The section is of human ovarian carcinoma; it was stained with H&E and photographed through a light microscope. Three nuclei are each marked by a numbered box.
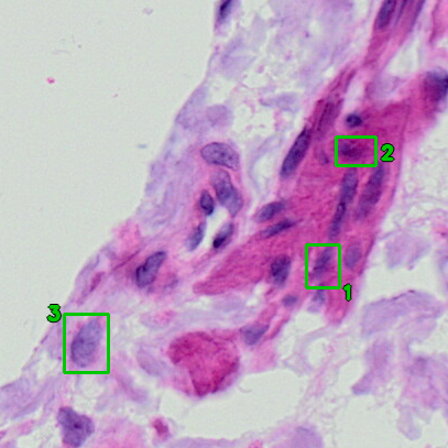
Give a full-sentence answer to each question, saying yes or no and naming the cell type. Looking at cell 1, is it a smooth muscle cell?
Yes, exactly, the cell numbered 1 is a smooth muscle cell.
